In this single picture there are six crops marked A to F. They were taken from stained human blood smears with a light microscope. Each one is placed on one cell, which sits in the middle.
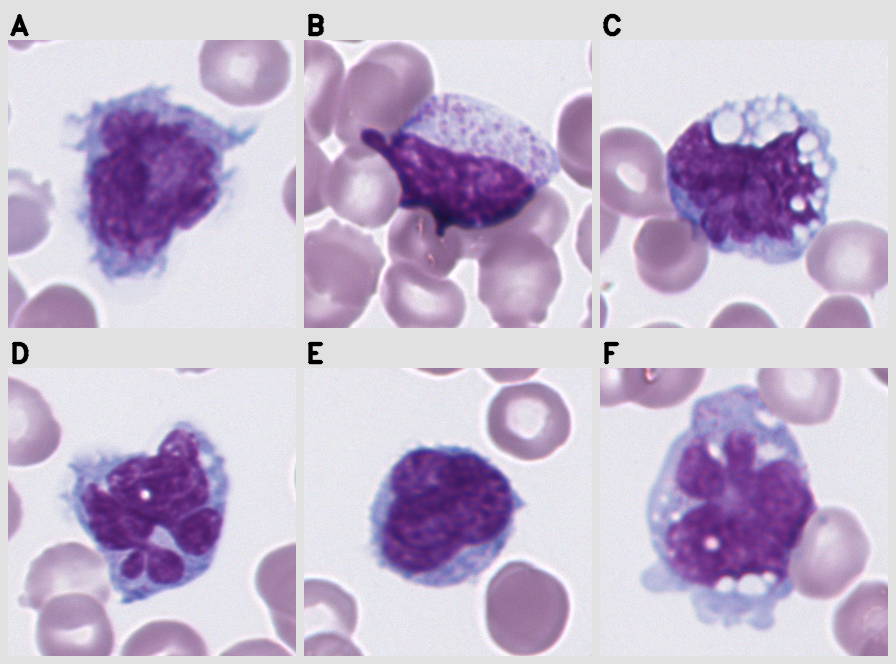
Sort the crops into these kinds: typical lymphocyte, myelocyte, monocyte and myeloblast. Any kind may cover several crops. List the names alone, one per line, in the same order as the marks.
monocyte
myelocyte
monocyte
monocyte
monocyte
monocyte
